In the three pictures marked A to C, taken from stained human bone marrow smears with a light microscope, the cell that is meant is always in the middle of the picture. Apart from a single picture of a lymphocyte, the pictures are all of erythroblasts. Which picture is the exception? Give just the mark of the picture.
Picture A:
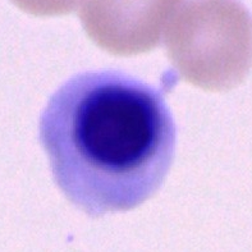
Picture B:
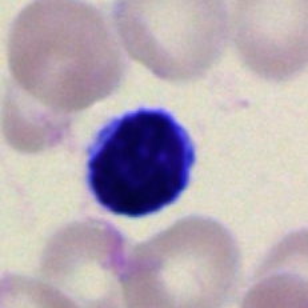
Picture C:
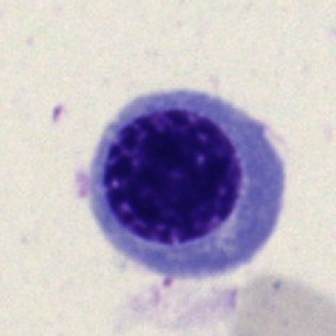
B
